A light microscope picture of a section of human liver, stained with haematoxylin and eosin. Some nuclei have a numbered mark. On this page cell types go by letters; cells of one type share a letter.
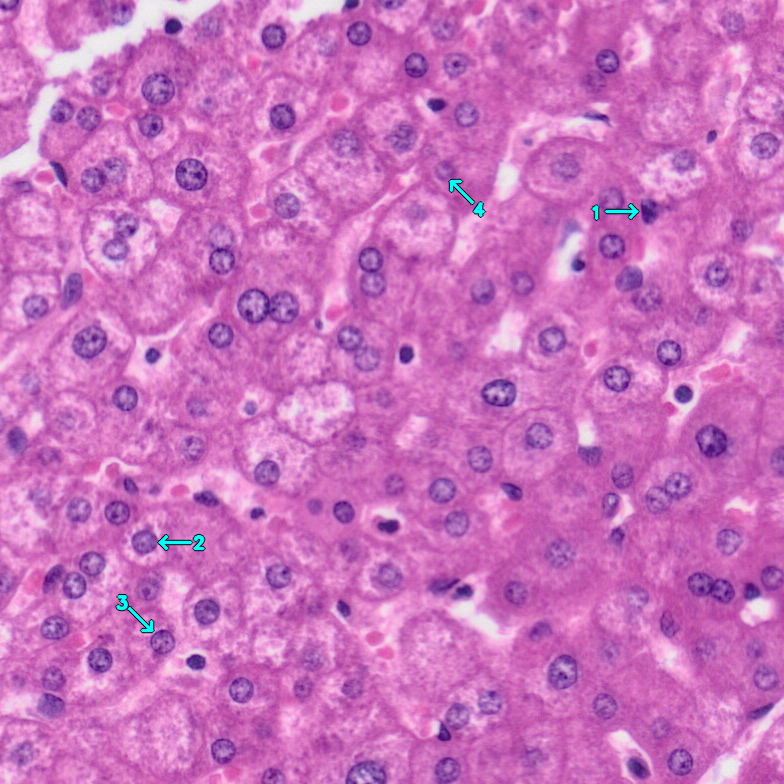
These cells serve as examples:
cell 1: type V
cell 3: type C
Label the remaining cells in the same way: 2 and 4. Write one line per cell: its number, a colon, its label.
2: type C
4: type C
